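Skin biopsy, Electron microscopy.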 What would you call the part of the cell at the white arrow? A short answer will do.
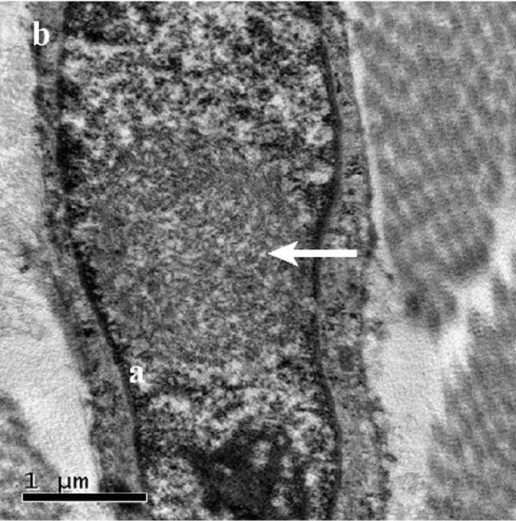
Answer: Intranuclear inclusions.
